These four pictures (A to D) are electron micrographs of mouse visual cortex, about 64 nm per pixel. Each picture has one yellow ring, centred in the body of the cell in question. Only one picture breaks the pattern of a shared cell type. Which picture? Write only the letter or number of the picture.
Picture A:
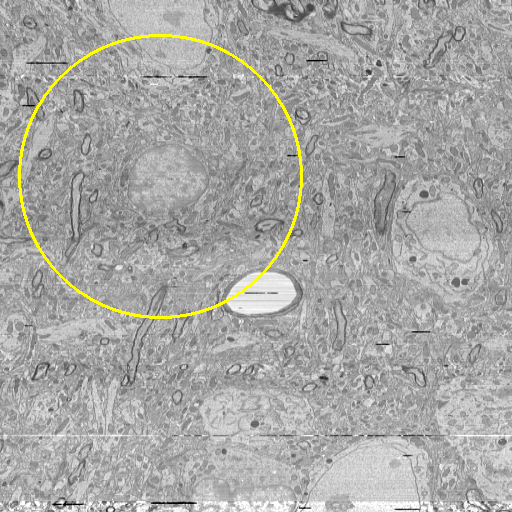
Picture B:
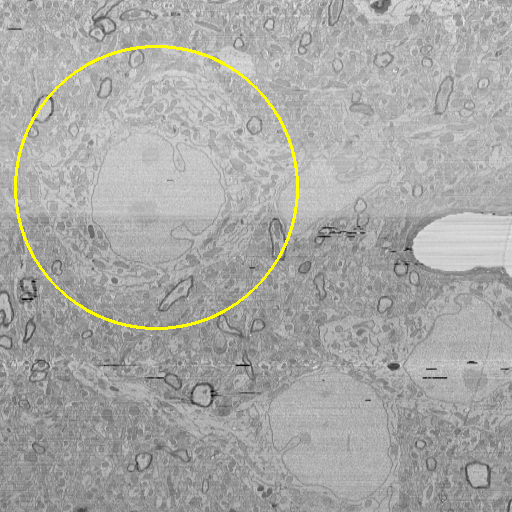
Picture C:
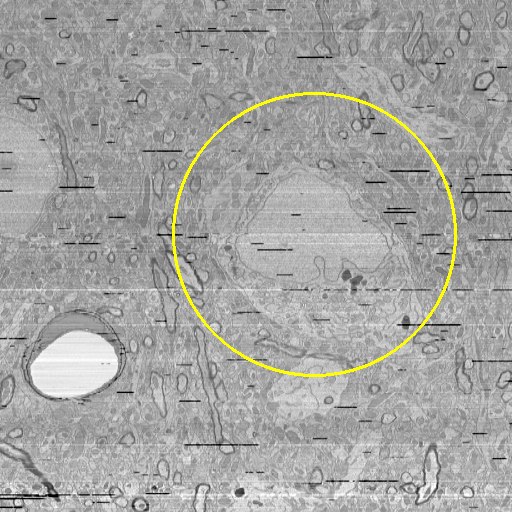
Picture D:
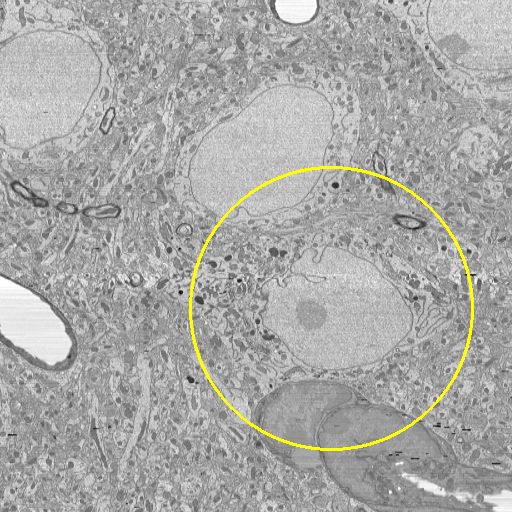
A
